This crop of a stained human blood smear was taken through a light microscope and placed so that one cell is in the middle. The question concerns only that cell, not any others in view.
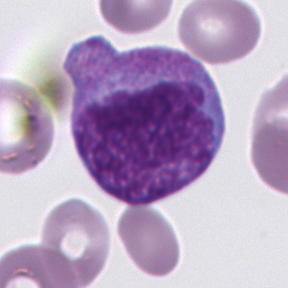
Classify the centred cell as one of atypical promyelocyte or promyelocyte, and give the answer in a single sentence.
The centrally located cell in the crop is an atypical promyelocyte.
